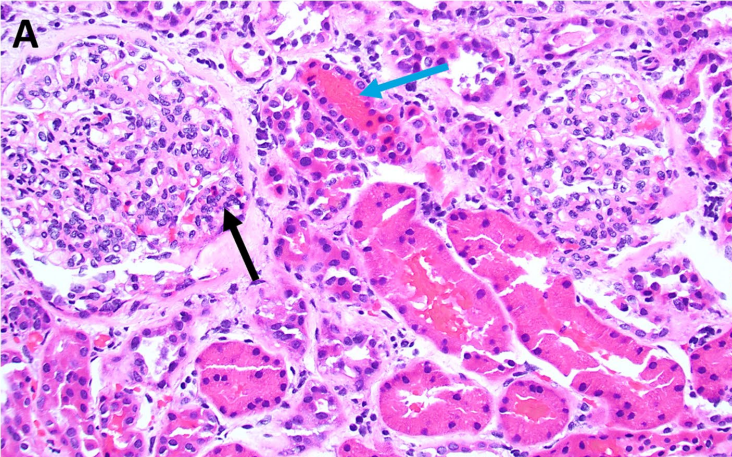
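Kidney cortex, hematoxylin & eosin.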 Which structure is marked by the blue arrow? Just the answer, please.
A: Intratubular erythrocyte casts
